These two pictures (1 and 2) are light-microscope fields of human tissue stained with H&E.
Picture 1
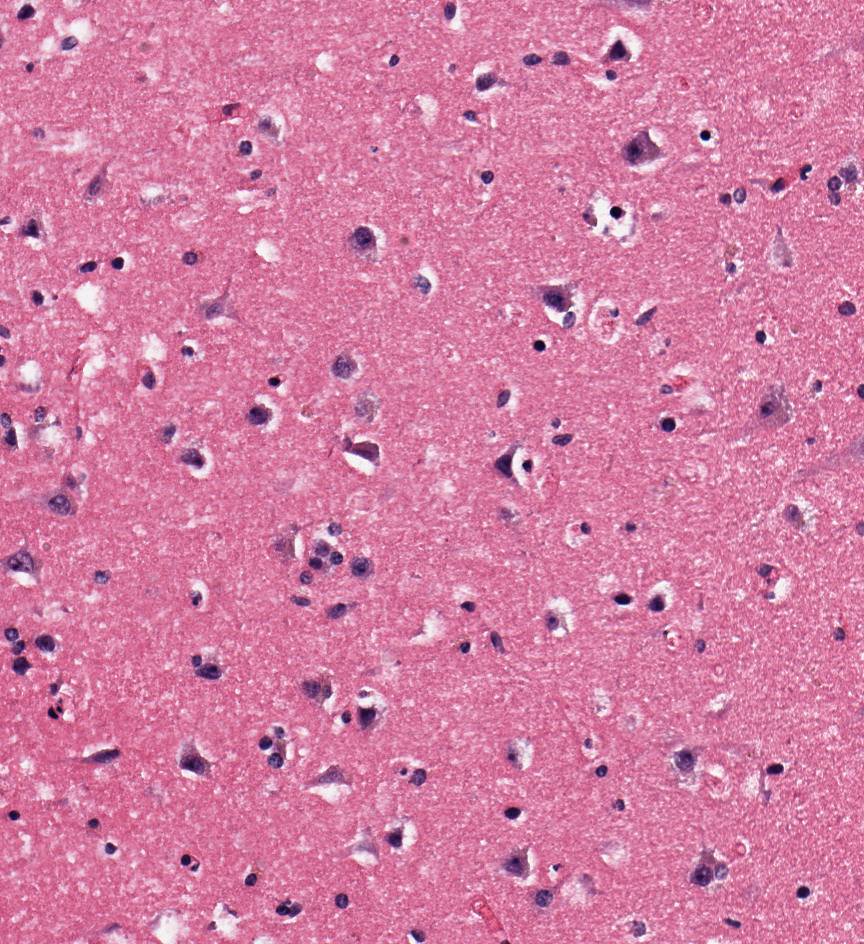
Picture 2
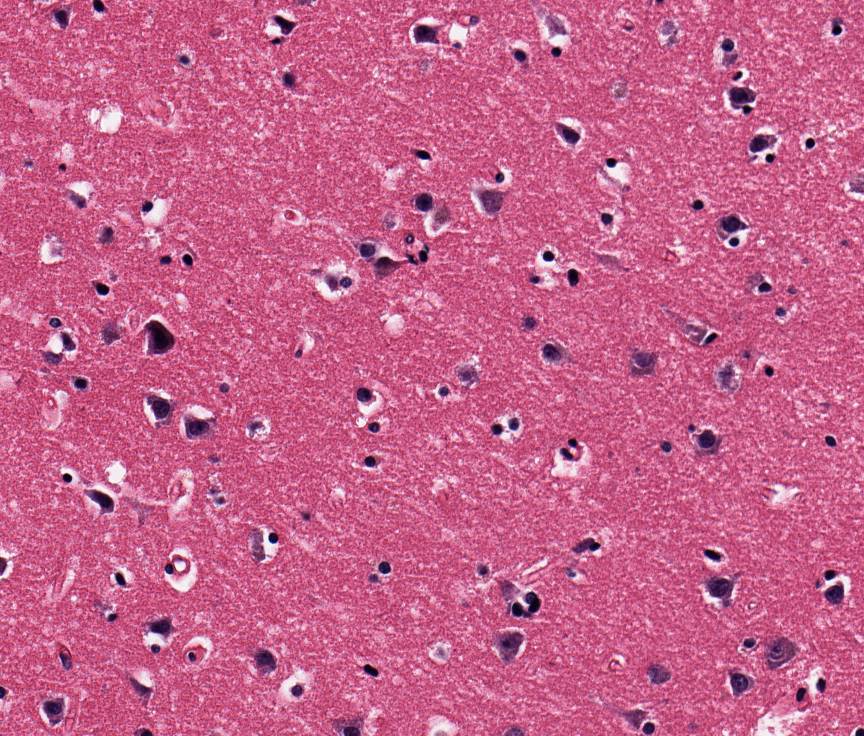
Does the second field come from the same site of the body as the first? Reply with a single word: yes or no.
yes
